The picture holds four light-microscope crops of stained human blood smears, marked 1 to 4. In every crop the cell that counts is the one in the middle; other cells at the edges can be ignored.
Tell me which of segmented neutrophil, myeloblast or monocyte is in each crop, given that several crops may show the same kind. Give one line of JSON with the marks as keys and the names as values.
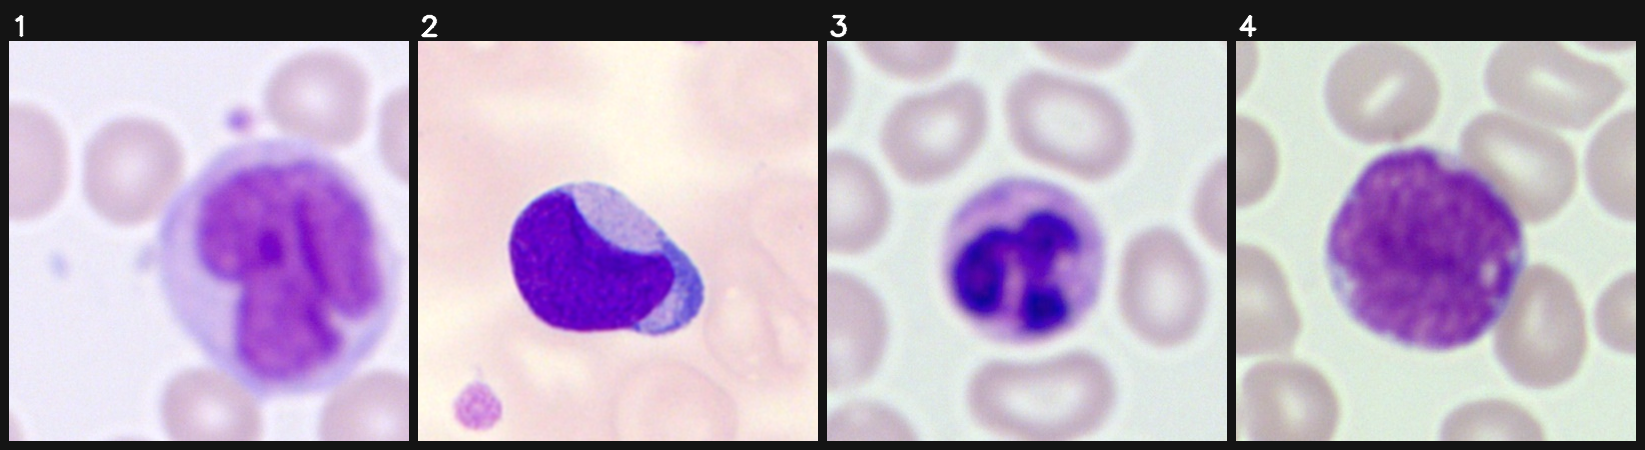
{"1": "monocyte", "2": "myeloblast", "3": "segmented neutrophil", "4": "myeloblast"}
